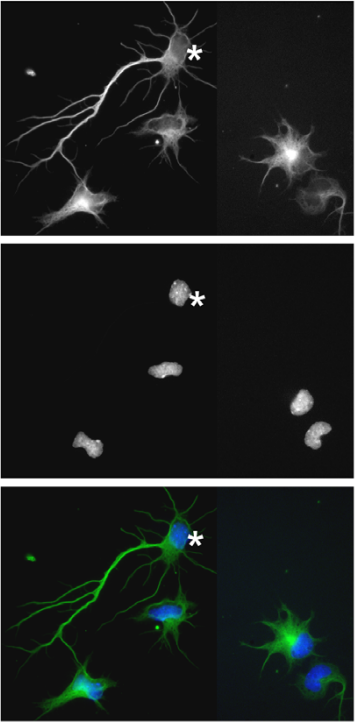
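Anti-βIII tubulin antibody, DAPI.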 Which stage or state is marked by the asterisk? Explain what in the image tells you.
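The marked nucleus is large, oval and evenly stained with a few bright spots. The marked cell bears several long branching processes.
Hence: healthy nuclei.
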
